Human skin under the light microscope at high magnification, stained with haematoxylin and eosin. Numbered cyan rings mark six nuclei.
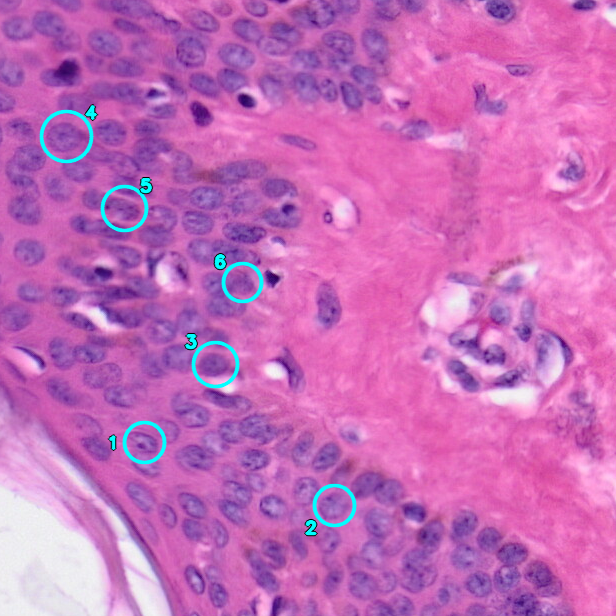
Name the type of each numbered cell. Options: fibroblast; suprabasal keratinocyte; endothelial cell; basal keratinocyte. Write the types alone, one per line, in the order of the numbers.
suprabasal keratinocyte
suprabasal keratinocyte
basal keratinocyte
suprabasal keratinocyte
basal keratinocyte
basal keratinocyte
